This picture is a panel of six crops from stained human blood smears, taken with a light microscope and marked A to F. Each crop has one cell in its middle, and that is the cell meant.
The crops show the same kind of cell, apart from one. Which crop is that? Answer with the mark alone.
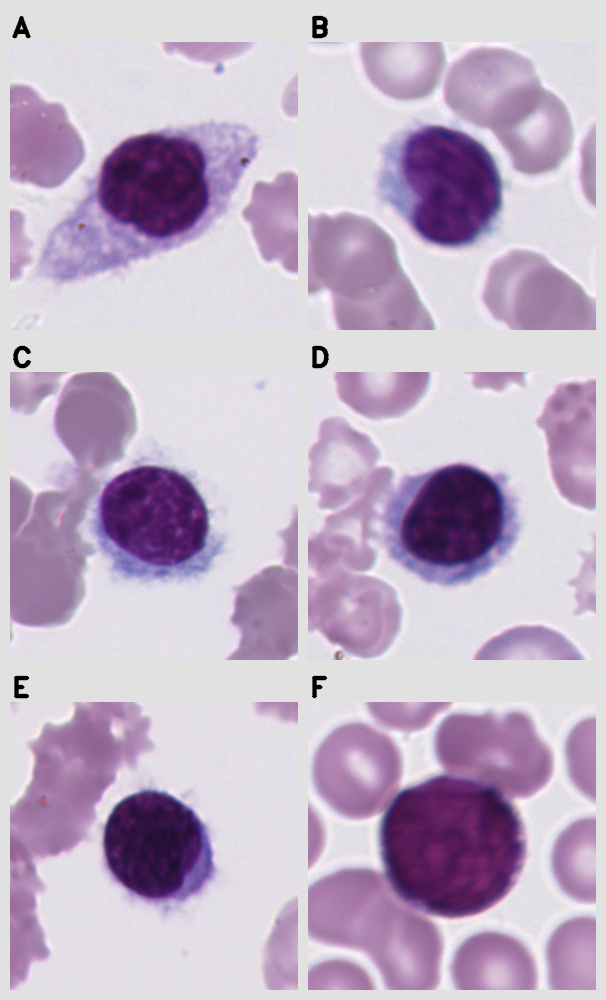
F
